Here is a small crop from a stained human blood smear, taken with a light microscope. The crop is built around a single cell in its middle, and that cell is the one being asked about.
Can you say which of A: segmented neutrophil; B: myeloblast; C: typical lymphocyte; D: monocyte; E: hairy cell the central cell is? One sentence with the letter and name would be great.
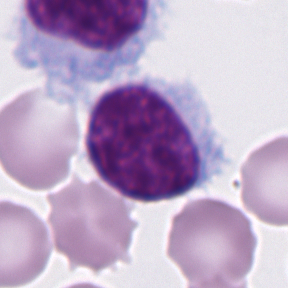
The one to choose is option E, as the cell in the middle is a hairy cell.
